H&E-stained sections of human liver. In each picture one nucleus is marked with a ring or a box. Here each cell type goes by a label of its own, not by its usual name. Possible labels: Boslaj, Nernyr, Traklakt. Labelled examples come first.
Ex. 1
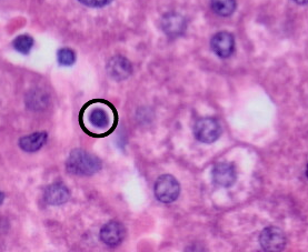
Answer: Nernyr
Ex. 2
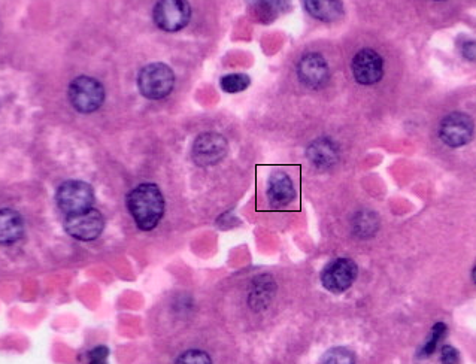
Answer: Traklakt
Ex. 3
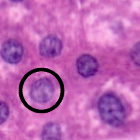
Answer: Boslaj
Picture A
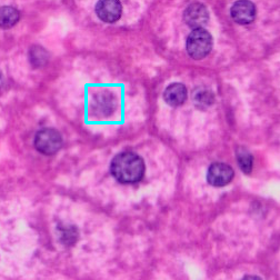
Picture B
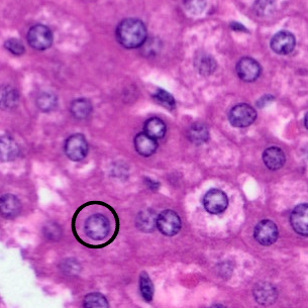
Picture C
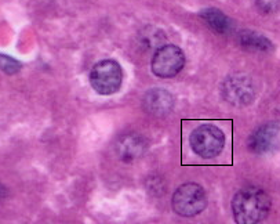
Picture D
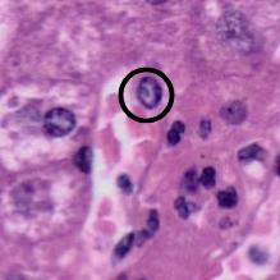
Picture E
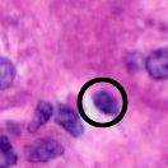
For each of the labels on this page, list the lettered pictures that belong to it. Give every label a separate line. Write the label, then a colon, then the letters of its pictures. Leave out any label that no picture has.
Boslaj: A, B, C
Nernyr: E
Traklakt: D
